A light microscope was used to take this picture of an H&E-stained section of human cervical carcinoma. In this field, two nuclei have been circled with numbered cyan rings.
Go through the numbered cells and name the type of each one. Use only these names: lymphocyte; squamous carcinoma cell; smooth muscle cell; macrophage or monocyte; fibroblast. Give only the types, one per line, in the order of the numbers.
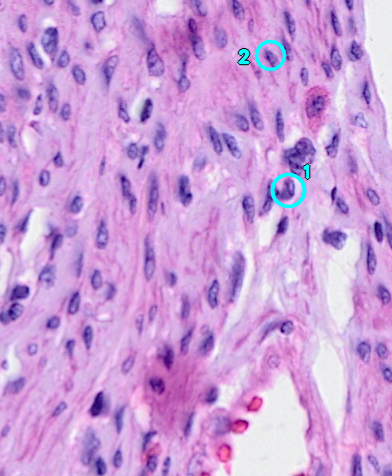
lymphocyte
smooth muscle cell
